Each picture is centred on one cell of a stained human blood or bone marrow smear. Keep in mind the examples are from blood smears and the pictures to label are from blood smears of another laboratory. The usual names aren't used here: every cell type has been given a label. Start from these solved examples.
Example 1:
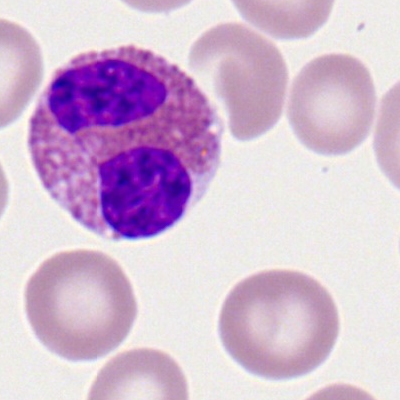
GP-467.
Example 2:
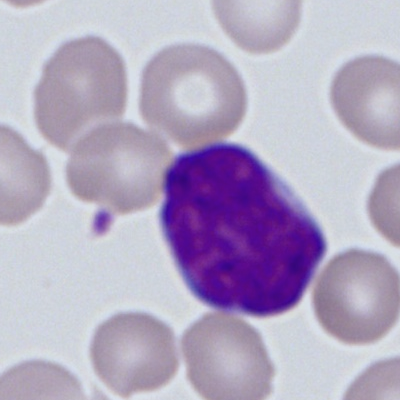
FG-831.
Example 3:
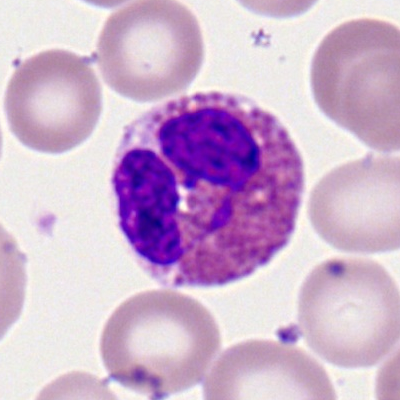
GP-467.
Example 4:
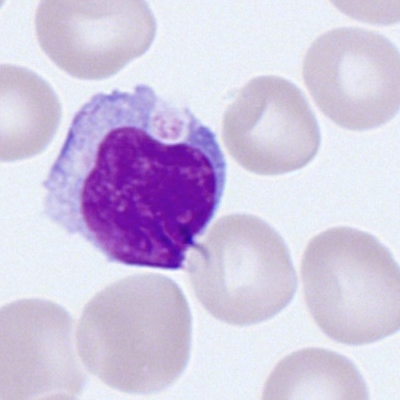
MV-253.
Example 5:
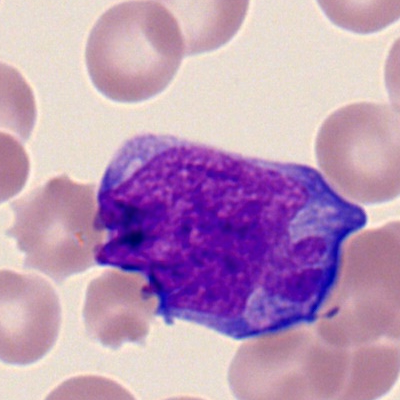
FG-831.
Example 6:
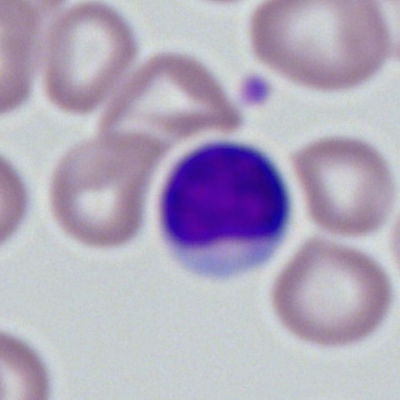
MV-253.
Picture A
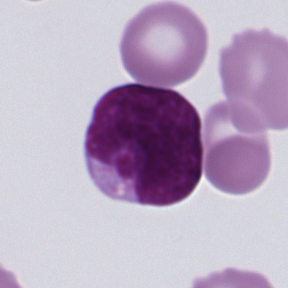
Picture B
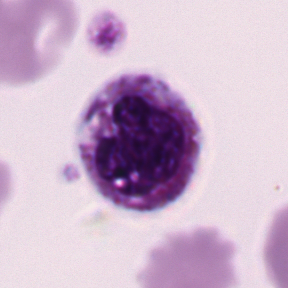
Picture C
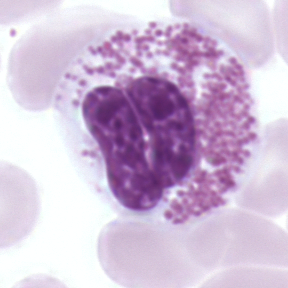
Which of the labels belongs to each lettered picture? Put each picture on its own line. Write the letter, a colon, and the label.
A: FG-831.
B: GP-467.
C: GP-467.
